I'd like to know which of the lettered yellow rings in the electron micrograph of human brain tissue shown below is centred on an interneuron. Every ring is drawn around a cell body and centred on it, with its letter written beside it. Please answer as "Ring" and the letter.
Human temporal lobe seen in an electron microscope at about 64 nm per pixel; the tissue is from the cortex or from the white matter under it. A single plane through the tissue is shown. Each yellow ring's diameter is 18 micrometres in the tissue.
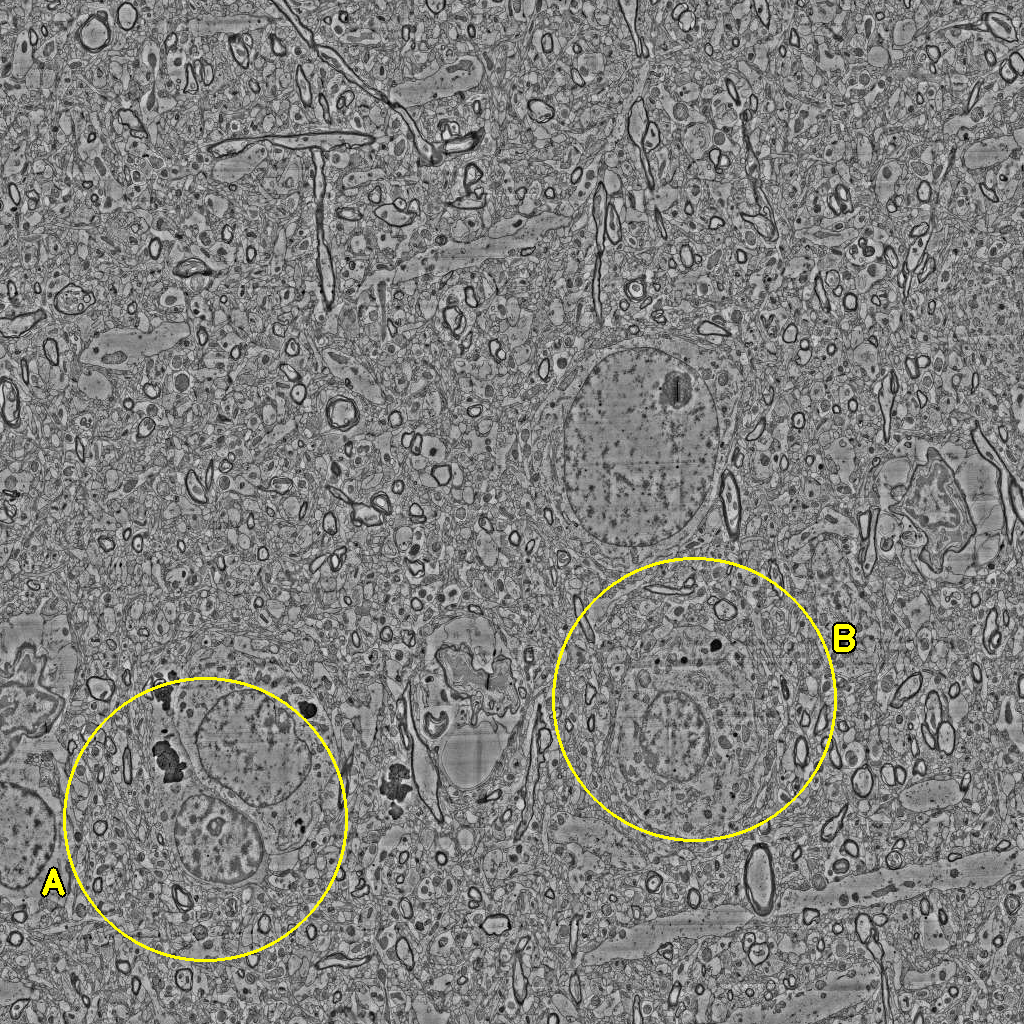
Ring B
